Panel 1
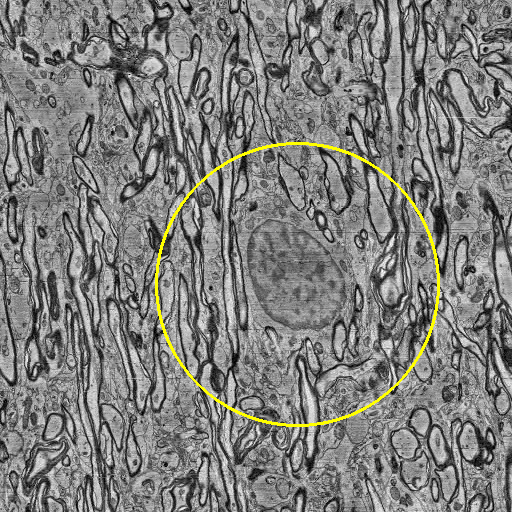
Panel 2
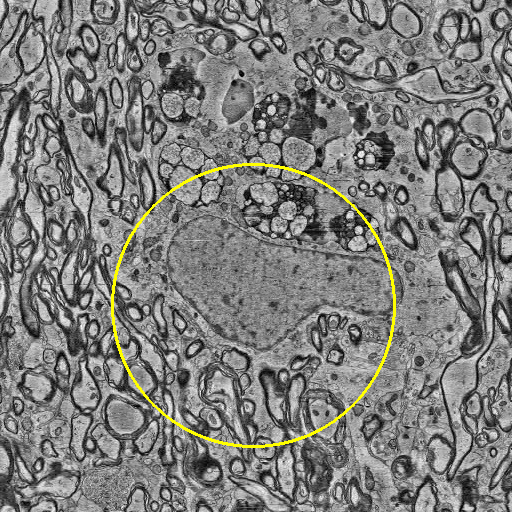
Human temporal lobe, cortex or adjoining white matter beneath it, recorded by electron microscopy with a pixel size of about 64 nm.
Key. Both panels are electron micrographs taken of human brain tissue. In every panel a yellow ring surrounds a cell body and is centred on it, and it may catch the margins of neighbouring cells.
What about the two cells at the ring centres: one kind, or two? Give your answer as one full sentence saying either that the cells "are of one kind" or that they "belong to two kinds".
Across Panels 1 and 2, the two cells at the ring centres belong to two kinds.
